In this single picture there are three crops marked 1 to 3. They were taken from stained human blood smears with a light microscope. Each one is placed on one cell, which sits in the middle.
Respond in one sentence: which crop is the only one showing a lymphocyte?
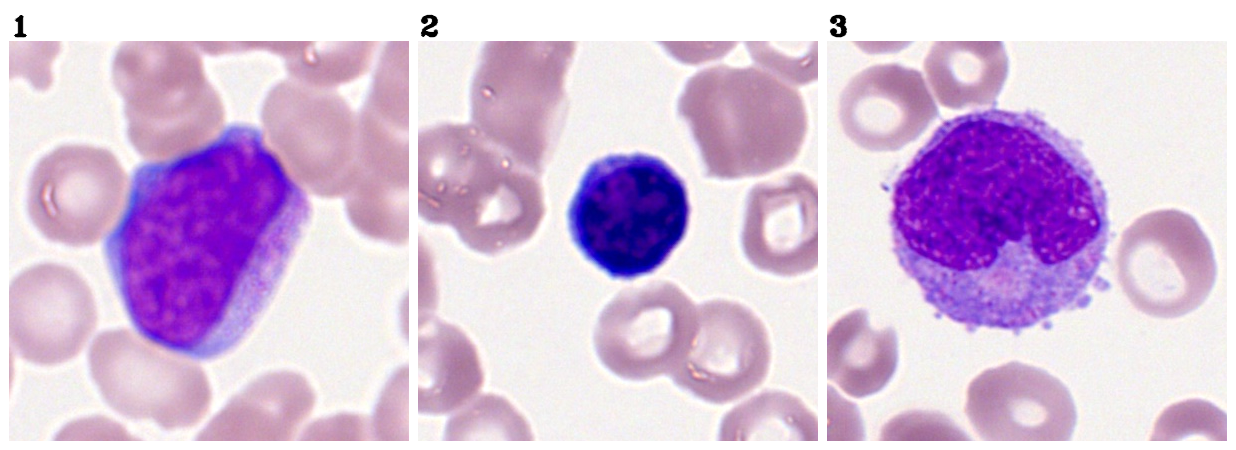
As for which crop shows a lymphocyte, it is crop 2.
